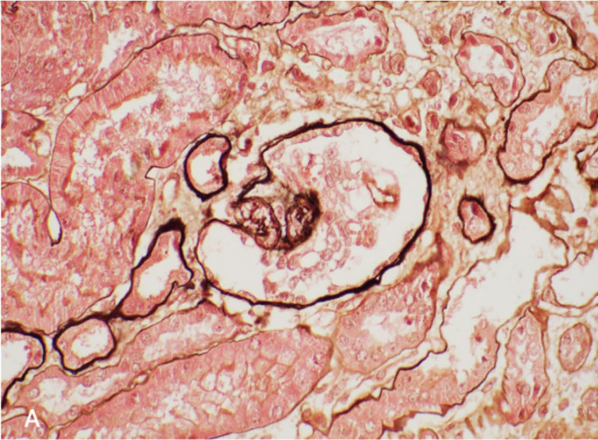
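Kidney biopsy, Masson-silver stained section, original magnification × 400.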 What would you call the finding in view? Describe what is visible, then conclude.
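Collapsed glomerular capillary tufts. The glomerular tuft is small, shrunken and dark, lying to one side of the capsule. A wide empty space separates the tuft from the black-outlined capsule.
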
